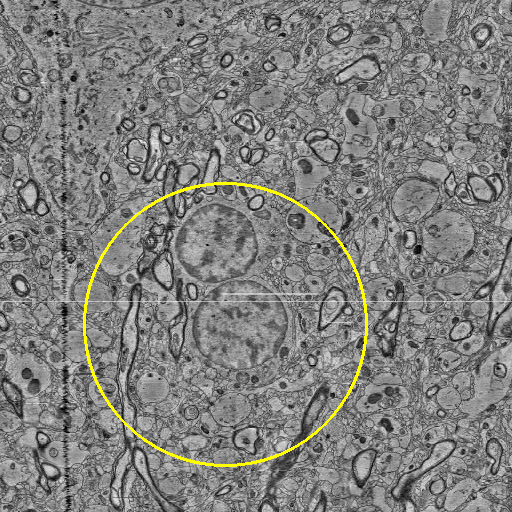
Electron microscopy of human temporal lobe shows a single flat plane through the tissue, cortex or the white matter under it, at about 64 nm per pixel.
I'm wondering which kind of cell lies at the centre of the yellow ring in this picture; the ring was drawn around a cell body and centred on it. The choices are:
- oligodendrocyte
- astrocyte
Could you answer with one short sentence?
At the centre of the ring lies an oligodendrocyte.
